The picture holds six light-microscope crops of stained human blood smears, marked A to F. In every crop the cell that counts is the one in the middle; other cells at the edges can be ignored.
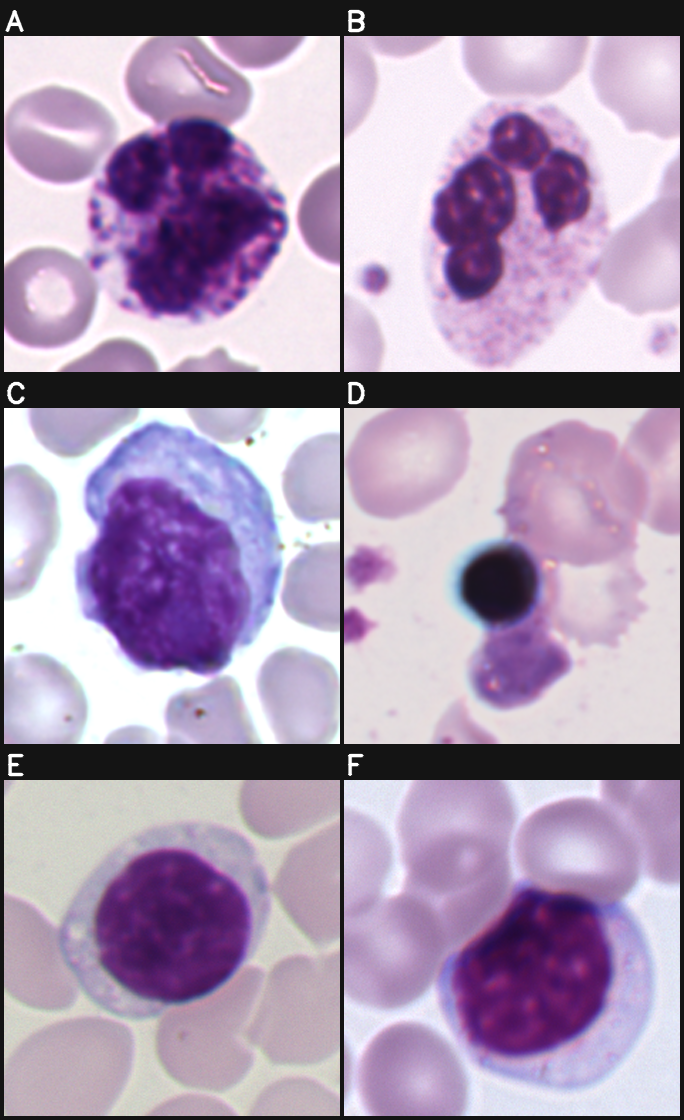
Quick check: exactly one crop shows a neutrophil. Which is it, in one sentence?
Crop B matches the request, showing a neutrophil.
